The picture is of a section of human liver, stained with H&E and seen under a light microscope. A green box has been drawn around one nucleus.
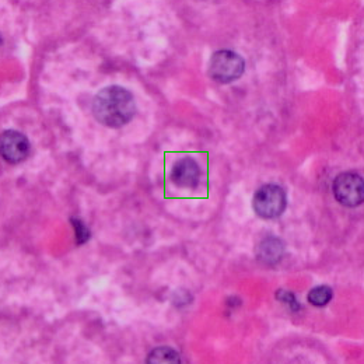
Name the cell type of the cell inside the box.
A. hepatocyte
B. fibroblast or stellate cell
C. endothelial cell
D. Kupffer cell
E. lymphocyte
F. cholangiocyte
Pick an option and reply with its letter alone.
A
